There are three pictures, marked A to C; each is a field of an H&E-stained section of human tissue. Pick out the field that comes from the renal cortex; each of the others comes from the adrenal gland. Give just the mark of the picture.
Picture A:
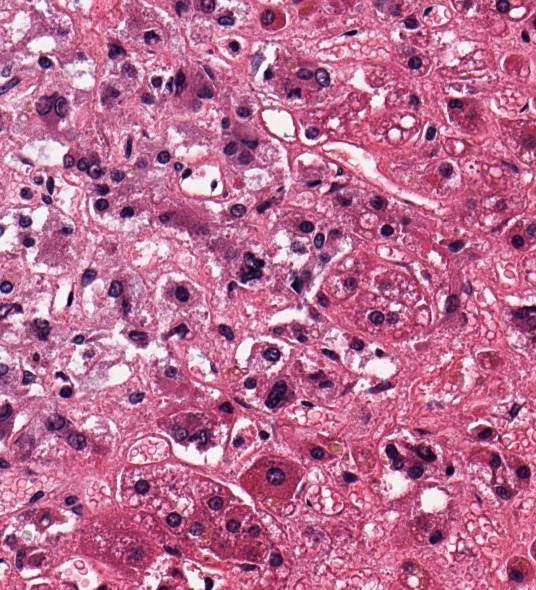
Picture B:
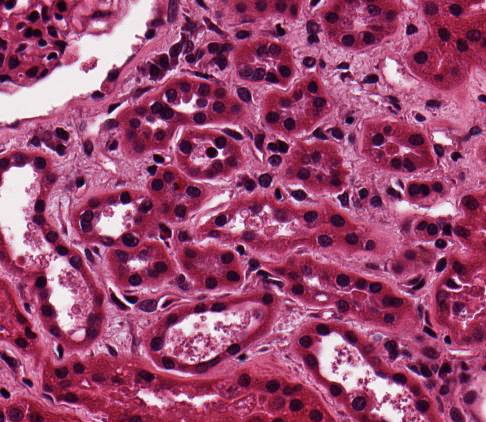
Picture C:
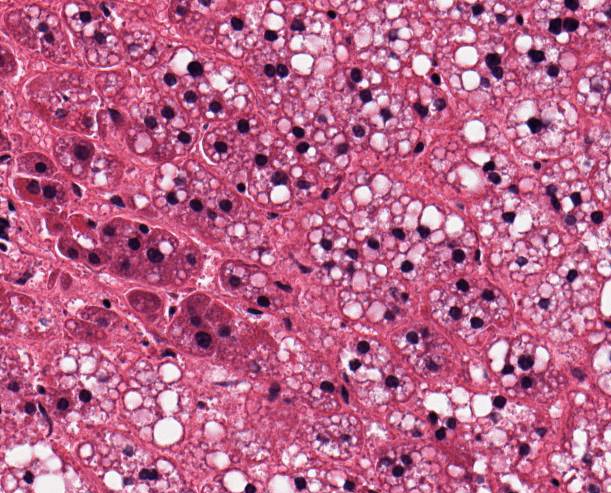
B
